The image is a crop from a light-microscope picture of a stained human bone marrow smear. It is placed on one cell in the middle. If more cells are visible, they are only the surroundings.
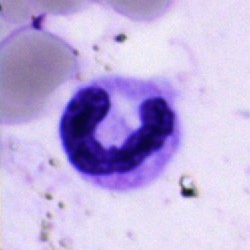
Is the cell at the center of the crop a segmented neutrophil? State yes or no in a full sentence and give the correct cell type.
Yes, the middle cell of the field is a segmented neutrophil.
